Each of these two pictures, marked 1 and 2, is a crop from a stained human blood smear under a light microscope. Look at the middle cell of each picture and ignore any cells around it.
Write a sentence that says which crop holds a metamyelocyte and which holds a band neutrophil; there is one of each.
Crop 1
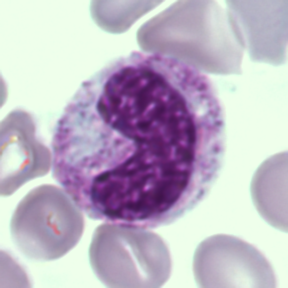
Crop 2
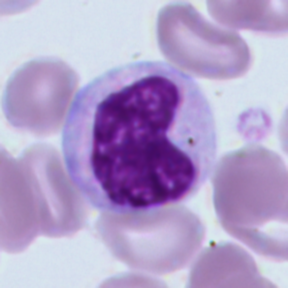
What crop 1 shows is a band neutrophil, and what crop 2 shows is a metamyelocyte.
